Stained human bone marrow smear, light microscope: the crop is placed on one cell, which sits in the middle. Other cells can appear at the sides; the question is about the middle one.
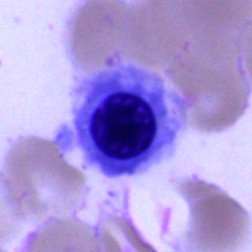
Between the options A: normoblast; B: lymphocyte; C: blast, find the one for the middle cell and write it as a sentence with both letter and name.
The cell in the middle is a normoblast, and so option A is correct.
